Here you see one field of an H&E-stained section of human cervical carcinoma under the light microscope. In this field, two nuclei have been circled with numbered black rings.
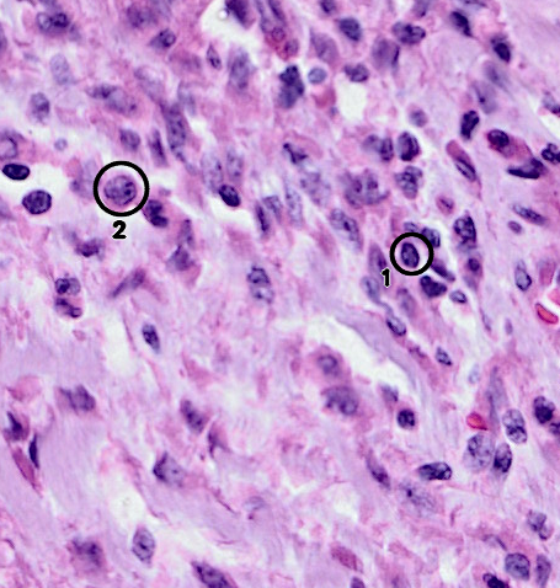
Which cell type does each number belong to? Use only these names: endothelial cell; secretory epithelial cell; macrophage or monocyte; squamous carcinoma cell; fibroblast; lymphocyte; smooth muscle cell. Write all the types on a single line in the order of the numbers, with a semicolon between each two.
lymphocyte; macrophage or monocyte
